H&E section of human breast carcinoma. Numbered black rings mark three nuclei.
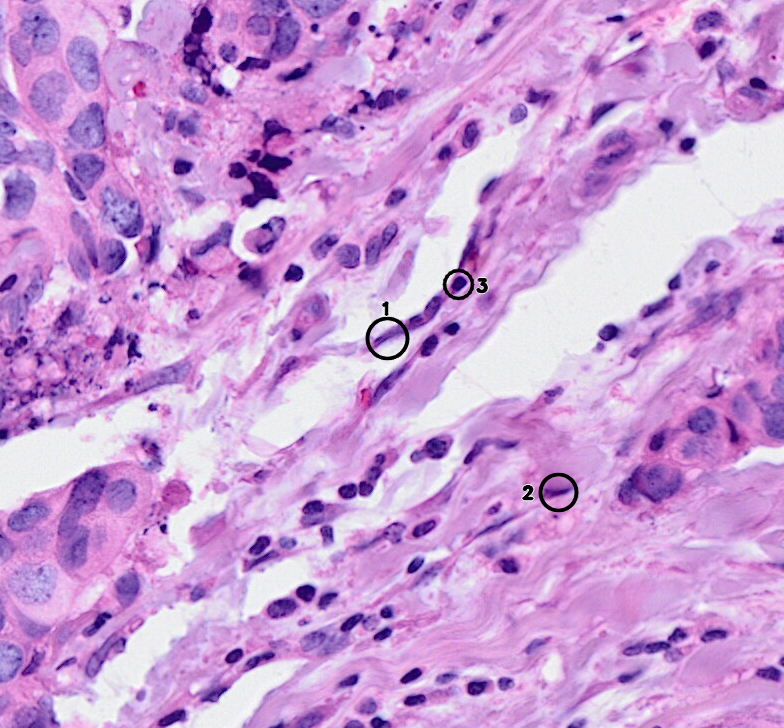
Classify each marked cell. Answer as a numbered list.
1. fibroblast
2. fibroblast
3. lymphocyte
